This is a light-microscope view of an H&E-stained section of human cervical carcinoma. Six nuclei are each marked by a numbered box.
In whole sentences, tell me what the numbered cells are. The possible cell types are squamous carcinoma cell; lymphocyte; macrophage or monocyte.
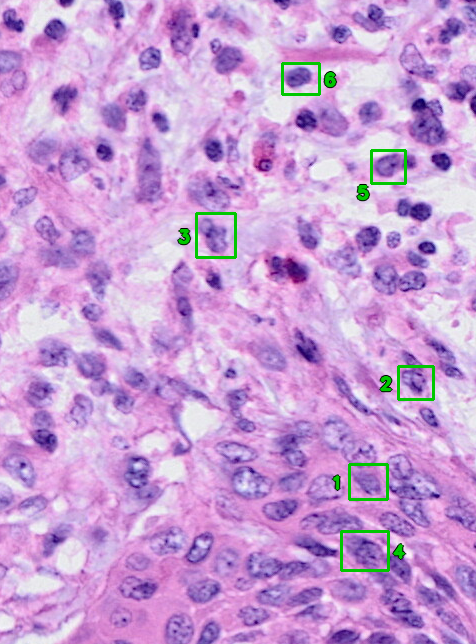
Cell 1 is a squamous carcinoma cell, cell 2 is a macrophage or monocyte, cell 3 is a macrophage or monocyte, cell 4 is a squamous carcinoma cell, cell 5 is a macrophage or monocyte and cell 6 is a lymphocyte.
